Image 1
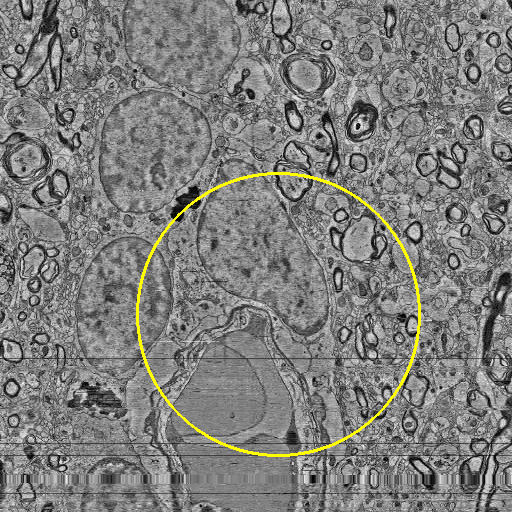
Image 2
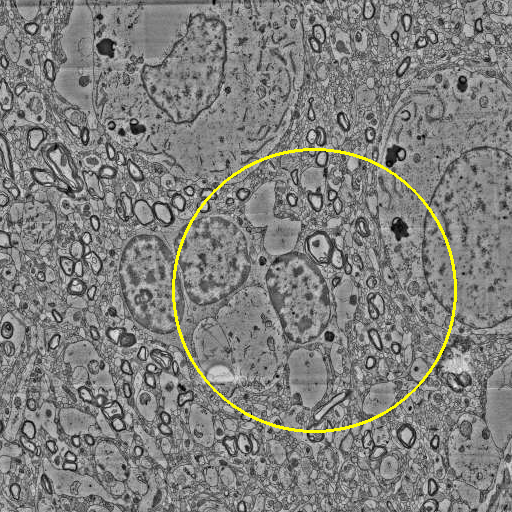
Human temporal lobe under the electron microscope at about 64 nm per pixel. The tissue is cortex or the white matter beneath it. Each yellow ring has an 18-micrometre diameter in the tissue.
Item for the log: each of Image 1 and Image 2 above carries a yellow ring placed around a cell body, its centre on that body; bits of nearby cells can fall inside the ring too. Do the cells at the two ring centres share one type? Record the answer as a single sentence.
Yes, the two cells at the ring centres in Image 1 and Image 2 share one type.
